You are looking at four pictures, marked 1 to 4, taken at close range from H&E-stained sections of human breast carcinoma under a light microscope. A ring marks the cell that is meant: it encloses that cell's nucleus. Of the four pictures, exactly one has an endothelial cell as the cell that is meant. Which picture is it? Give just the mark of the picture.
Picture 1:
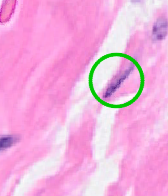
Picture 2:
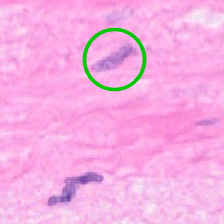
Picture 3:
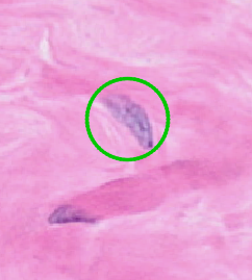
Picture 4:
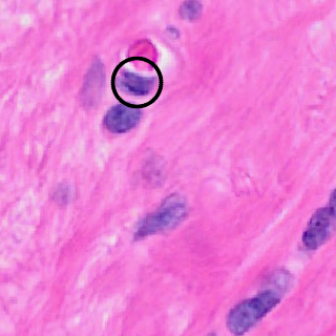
4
